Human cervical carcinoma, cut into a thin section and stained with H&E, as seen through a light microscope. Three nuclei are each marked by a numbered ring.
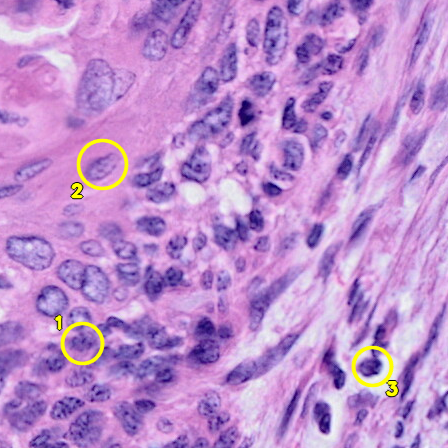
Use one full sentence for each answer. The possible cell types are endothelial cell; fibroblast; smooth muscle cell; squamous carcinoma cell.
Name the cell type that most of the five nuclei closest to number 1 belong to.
Squamous carcinoma cells account for more than half of the five nuclei nearest to number 1.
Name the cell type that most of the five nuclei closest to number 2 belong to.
Of the five nuclei nearest to number 2, most belong to squamous carcinoma cells.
